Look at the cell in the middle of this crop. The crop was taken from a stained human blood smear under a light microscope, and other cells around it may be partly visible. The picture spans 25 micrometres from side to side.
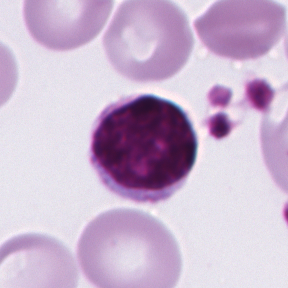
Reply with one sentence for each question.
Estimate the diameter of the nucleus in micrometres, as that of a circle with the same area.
It measures about 8 micrometres across.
